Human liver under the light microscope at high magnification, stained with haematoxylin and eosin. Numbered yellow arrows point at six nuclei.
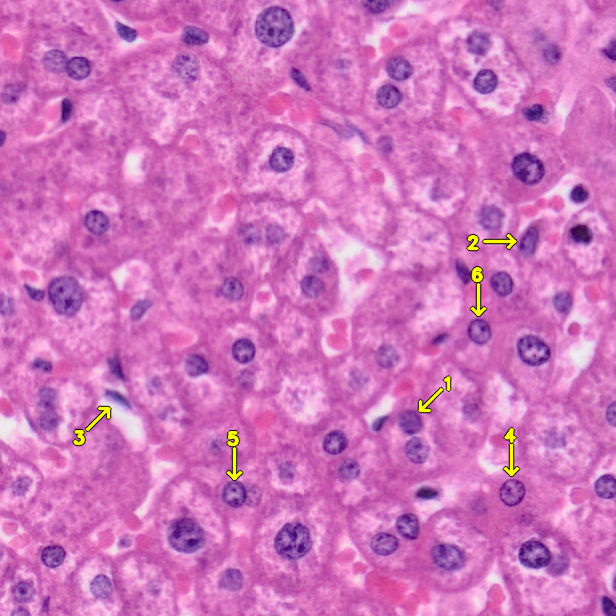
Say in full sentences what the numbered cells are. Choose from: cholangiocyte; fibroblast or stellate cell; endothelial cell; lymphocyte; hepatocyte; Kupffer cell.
Cell 1 is a hepatocyte, cell 2 is a Kupffer cell, cell 3 is an endothelial cell, cell 4 is a hepatocyte, cell 5 is a hepatocyte and cell 6 is a hepatocyte.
